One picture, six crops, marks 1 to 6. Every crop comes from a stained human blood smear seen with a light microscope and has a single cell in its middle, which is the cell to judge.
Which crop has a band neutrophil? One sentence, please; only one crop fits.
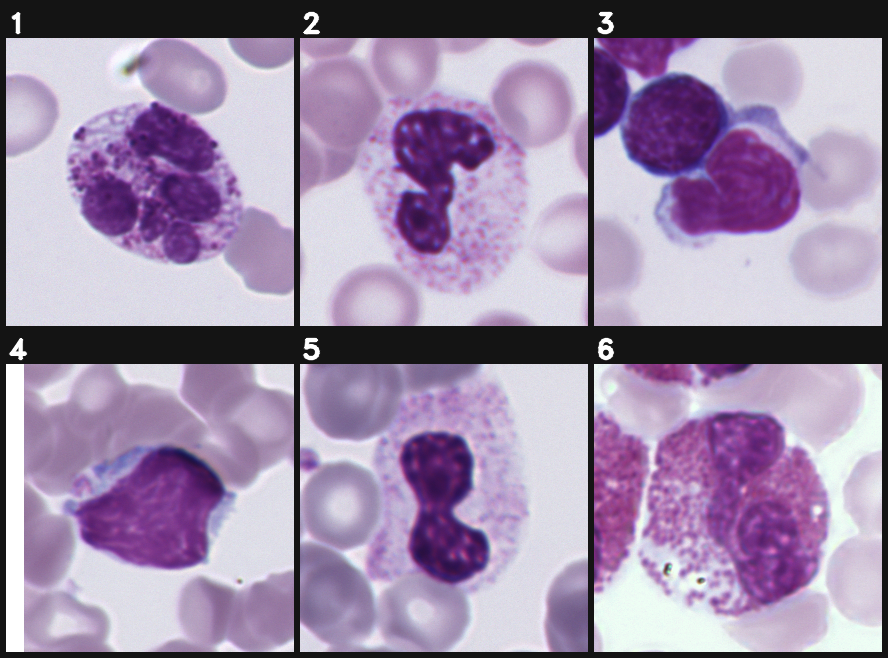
Crop 5 is the single crop that shows a band neutrophil.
